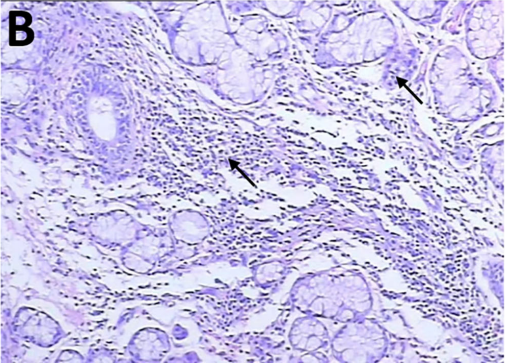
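Salivary gland tissue shows rounded acini of pale, foamy-looking mucous cells. The acini are set in a band of connective tissue that is crowded with small, dark, round nuclei of infiltrating lymphocytes. A duct with a cuboidal lining and an open lumen lies within this infiltrated stroma. A smaller cluster of dark nuclei sits at the edge of an acinus near the upper border.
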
